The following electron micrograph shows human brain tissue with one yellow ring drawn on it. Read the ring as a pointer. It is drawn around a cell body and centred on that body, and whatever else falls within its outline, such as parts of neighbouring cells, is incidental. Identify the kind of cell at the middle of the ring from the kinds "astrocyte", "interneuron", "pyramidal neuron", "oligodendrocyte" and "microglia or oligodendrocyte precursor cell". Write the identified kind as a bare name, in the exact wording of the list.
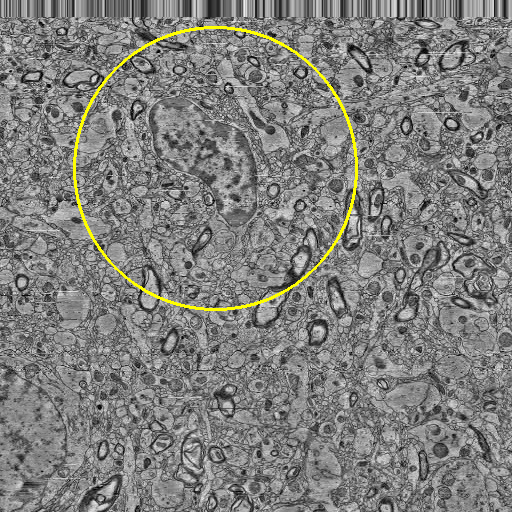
microglia or oligodendrocyte precursor cell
